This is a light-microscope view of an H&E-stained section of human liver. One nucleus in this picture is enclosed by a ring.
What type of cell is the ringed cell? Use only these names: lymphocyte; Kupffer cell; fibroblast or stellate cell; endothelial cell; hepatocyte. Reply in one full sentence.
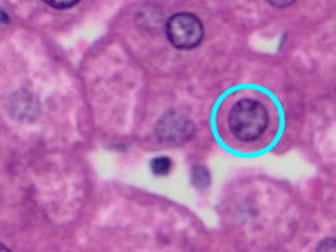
The classification of the ringed cell is as a hepatocyte.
